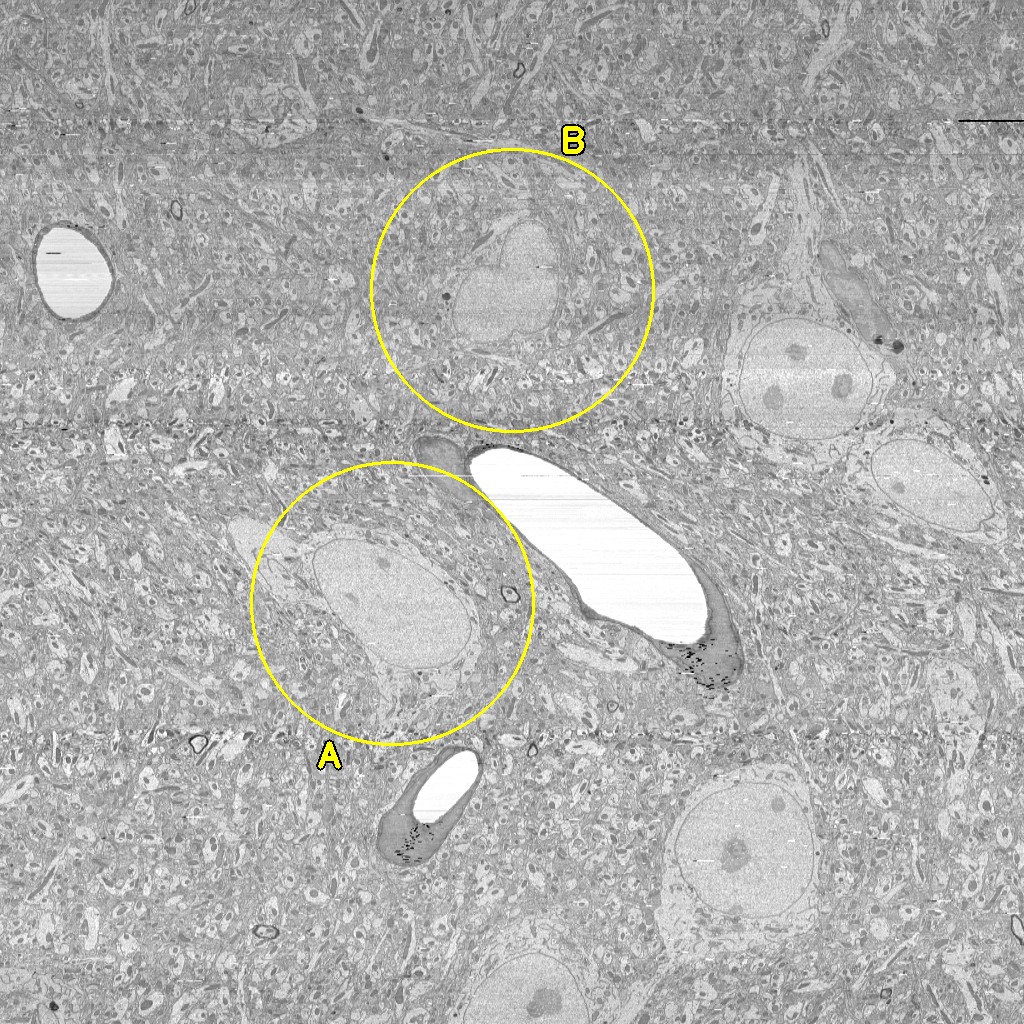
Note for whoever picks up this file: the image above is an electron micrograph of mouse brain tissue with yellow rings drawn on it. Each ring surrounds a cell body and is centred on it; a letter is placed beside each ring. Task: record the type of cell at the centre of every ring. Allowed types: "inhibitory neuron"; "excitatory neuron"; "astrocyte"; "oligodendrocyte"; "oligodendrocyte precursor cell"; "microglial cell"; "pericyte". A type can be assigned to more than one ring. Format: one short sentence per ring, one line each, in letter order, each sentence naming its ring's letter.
The ring marked A is centred on an excitatory neuron.
The ring marked B is centred on an astrocyte.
